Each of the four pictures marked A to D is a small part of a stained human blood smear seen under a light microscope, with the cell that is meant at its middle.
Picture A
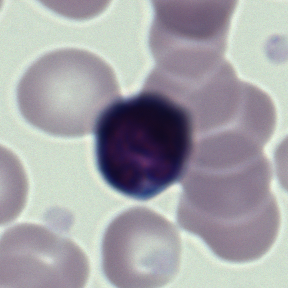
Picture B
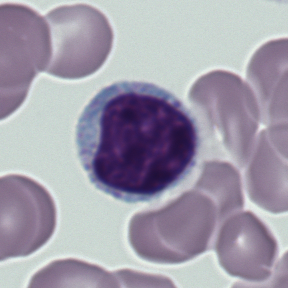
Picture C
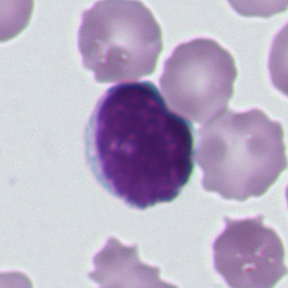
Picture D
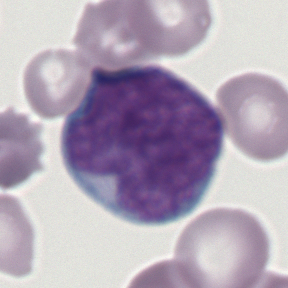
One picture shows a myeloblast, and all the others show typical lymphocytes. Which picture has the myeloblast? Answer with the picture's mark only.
D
